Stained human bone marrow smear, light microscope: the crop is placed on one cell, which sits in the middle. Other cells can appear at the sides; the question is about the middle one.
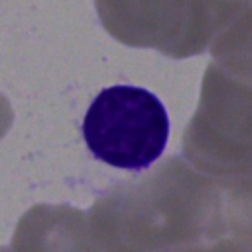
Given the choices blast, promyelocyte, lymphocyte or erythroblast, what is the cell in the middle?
lymphocyte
